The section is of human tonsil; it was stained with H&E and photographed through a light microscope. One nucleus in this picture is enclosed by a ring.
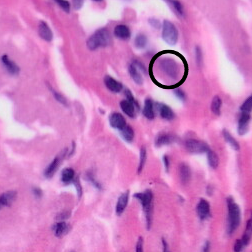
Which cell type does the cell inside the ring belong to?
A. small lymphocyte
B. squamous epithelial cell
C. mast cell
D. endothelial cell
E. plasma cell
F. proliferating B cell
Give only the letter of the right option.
D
